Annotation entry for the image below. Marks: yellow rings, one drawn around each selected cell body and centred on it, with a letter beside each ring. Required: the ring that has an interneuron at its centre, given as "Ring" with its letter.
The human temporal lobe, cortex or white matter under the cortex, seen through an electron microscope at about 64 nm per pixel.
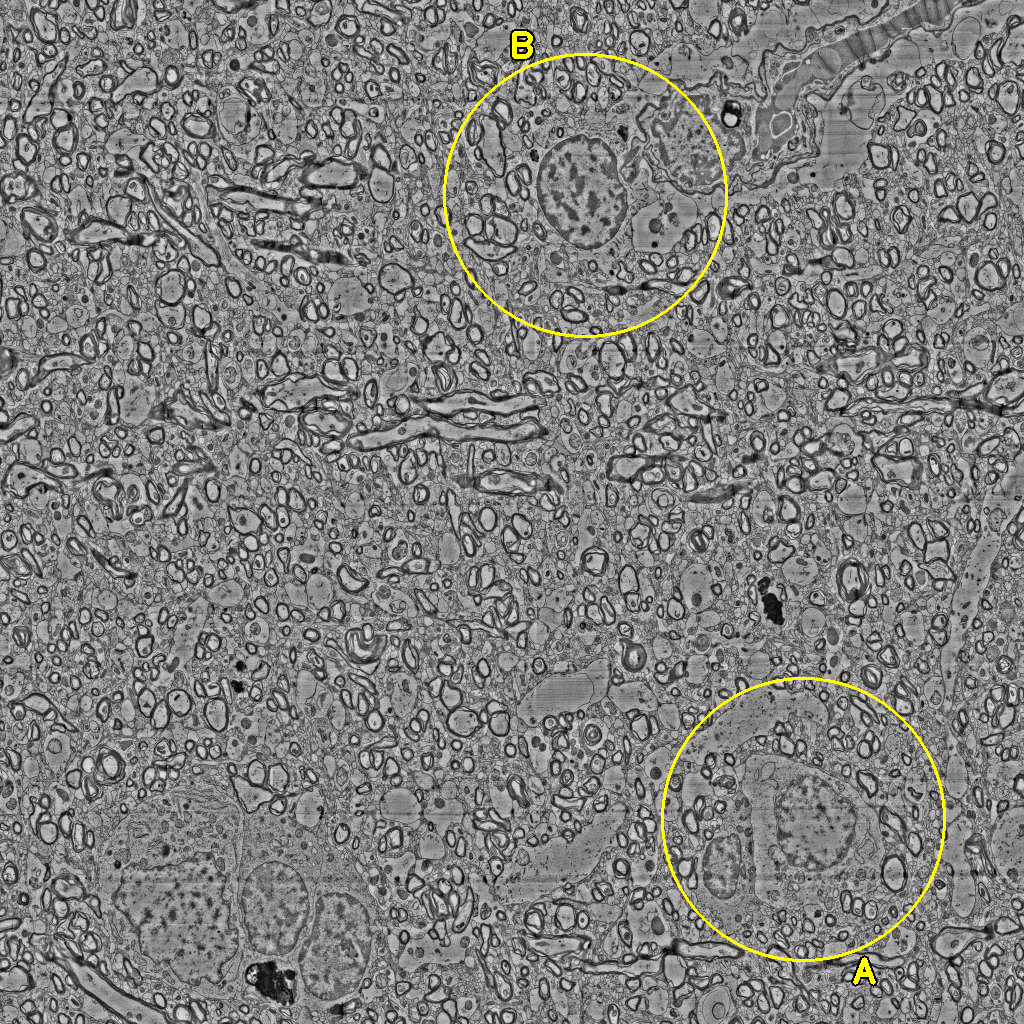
Ring A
